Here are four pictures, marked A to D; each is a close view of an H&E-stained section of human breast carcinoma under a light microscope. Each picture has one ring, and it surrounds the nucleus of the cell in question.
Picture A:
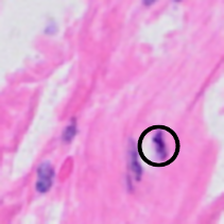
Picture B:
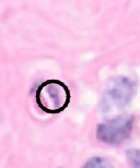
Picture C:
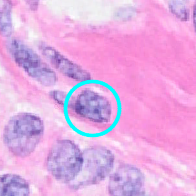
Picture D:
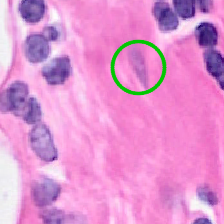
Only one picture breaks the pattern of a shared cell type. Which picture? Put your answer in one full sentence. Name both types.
The others show endothelial cells, but picture D shows a fibroblast.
